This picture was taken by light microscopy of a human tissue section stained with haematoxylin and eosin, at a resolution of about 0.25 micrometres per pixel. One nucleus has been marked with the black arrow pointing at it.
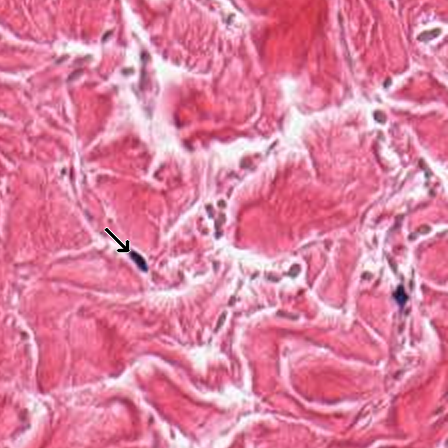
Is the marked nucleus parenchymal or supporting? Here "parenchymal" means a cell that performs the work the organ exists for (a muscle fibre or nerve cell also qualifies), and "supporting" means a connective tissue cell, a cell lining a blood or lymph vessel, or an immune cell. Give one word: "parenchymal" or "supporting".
supporting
